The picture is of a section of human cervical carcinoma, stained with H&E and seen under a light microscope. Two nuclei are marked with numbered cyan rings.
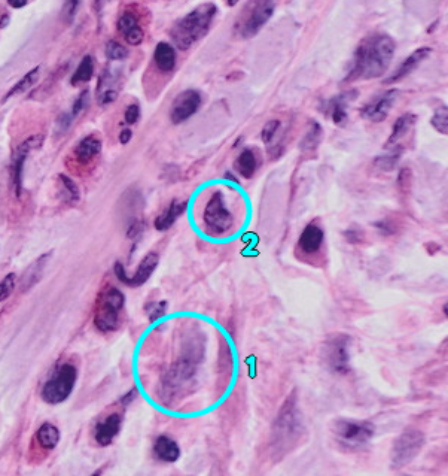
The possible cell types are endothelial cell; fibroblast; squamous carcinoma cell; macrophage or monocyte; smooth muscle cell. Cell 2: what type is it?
macrophage or monocyte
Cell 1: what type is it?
fibroblast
